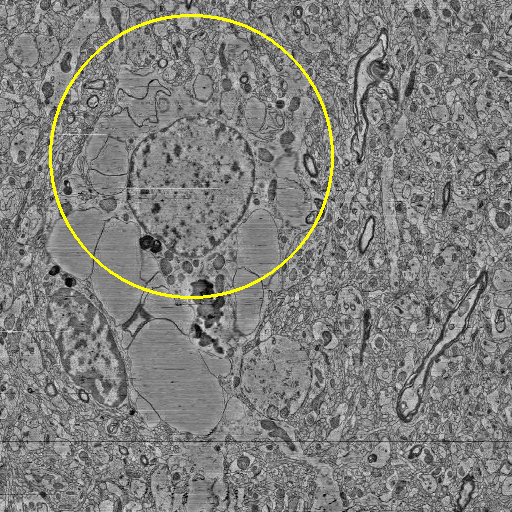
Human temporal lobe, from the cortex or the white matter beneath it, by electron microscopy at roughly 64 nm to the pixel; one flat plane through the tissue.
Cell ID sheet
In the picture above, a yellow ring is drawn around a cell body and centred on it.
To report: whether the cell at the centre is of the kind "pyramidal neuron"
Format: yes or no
no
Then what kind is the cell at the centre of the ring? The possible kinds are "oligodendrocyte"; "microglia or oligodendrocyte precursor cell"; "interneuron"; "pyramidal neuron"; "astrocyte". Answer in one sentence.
What the ring encloses here is an astrocyte.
